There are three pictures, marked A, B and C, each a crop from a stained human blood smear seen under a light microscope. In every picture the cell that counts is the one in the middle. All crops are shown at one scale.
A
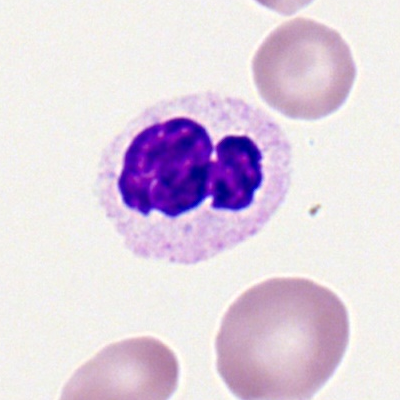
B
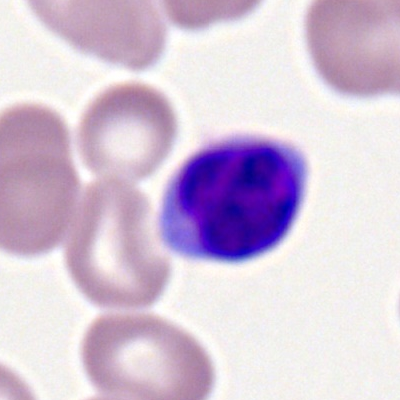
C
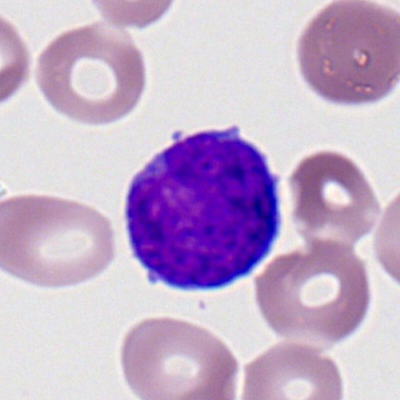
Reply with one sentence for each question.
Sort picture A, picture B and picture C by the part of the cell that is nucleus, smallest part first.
They run A, B, C, the least filled first.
